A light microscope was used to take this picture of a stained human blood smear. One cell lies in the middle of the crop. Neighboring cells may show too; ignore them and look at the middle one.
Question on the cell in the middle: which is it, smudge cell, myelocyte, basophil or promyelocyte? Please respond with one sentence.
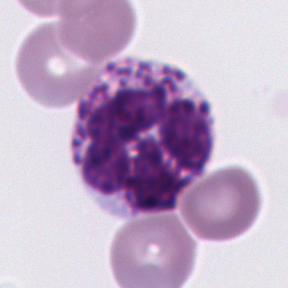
Looking at the middle of the crop, the cell there is a basophil.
